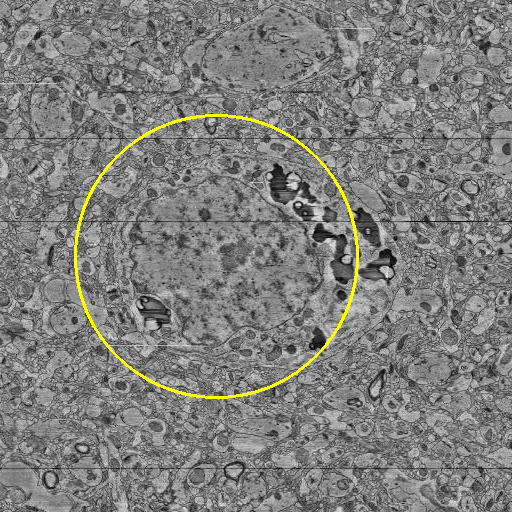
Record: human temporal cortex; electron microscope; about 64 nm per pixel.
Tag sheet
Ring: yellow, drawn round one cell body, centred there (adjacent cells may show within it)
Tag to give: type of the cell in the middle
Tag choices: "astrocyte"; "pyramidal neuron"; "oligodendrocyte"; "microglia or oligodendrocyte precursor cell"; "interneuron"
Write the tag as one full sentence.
I tag the cell centred in the yellow ring as a microglial cell or oligodendrocyte precursor cell in this picture.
